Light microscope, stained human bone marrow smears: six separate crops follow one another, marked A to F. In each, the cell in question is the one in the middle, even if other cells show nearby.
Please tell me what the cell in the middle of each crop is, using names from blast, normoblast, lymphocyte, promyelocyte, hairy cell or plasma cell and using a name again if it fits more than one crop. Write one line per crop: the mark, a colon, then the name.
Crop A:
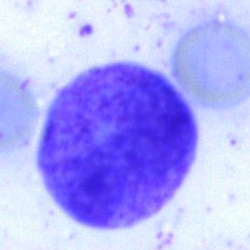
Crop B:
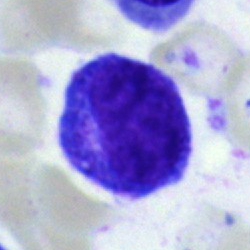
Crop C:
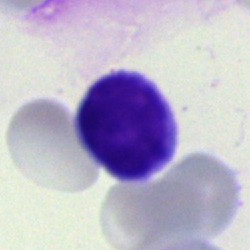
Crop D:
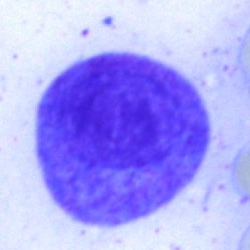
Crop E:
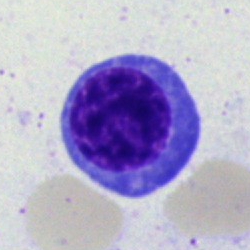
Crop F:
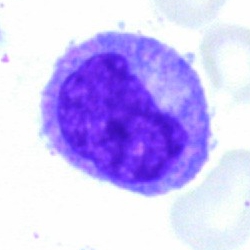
A: promyelocyte
B: promyelocyte
C: lymphocyte
D: promyelocyte
E: normoblast
F: promyelocyte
